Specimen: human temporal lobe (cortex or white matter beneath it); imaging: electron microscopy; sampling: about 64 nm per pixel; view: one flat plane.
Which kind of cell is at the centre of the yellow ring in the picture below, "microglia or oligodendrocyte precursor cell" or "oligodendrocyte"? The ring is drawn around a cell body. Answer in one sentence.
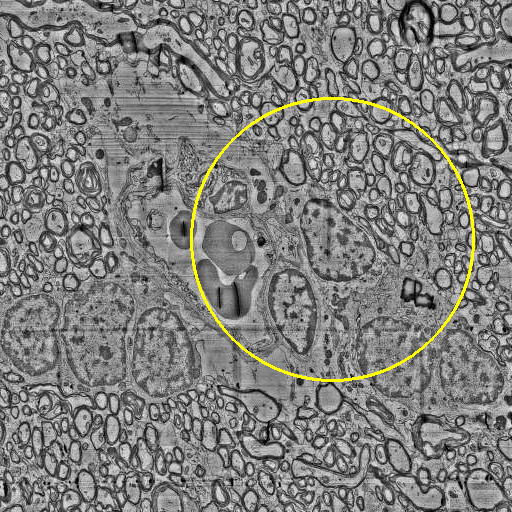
The ring's central cell is a microglial cell or oligodendrocyte precursor cell.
